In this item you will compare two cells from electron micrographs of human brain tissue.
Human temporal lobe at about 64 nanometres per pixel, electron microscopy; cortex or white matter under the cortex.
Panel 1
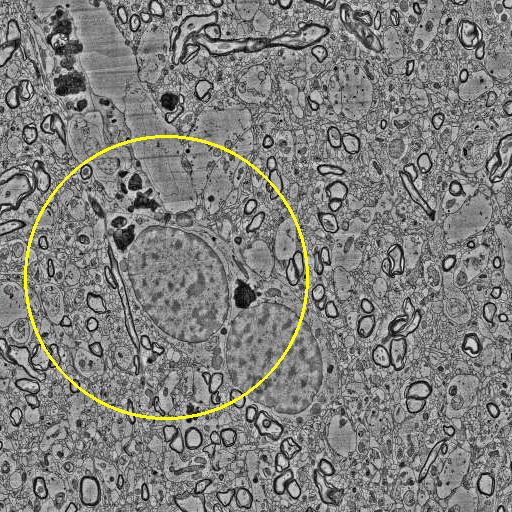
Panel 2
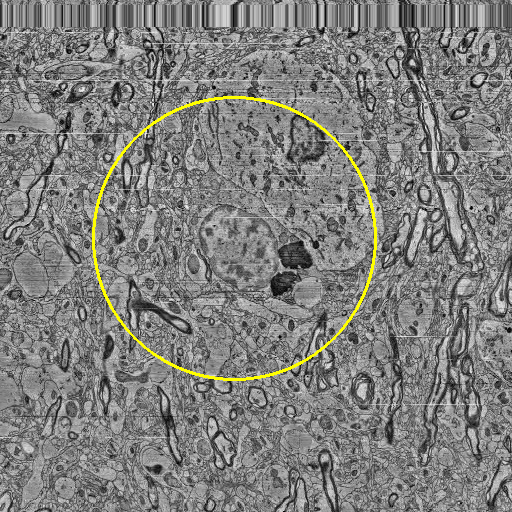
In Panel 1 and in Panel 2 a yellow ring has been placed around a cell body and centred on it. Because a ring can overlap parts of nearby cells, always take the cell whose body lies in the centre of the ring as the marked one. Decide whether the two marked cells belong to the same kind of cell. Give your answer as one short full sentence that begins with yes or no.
Yes, the two marked cells belong to the same kind of cell.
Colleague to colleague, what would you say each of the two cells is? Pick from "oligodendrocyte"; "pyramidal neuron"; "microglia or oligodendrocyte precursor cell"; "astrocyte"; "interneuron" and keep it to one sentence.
Each one of the two ringed cells is an oligodendrocyte.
